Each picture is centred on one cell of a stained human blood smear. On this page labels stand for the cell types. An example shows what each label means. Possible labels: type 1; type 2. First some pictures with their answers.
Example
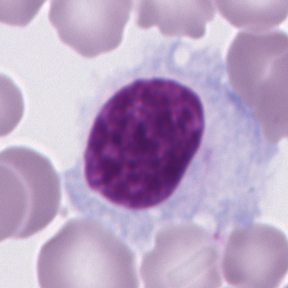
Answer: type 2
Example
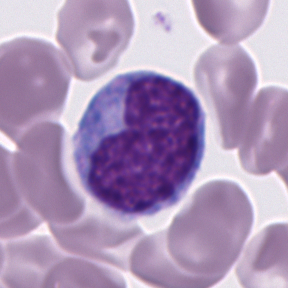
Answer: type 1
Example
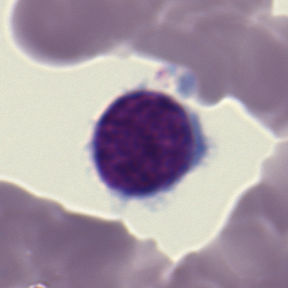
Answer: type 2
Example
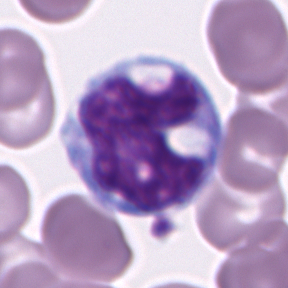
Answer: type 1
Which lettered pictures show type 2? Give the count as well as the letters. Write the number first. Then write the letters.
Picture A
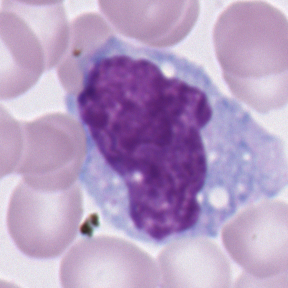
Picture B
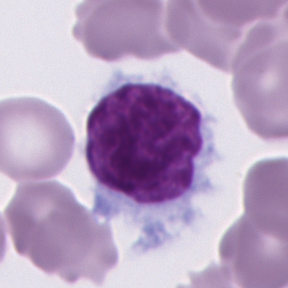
1, namely B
